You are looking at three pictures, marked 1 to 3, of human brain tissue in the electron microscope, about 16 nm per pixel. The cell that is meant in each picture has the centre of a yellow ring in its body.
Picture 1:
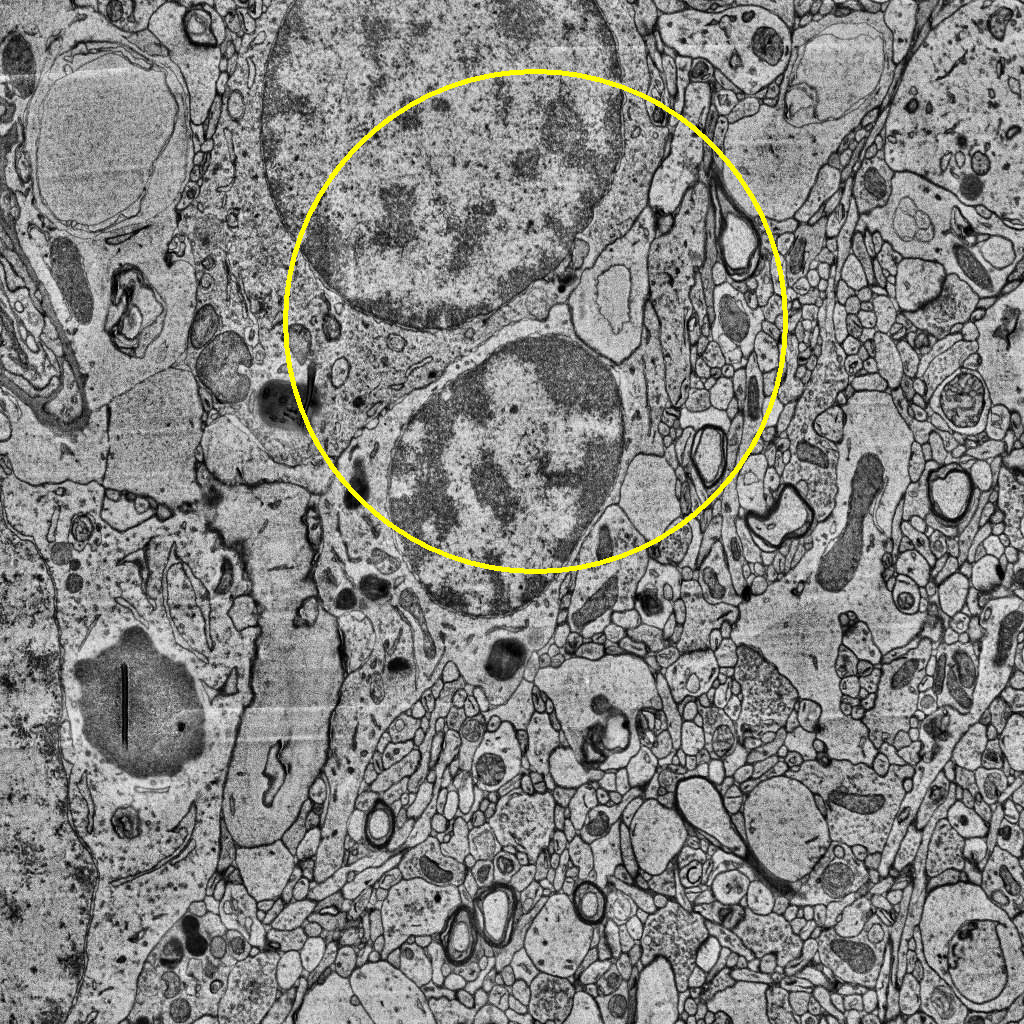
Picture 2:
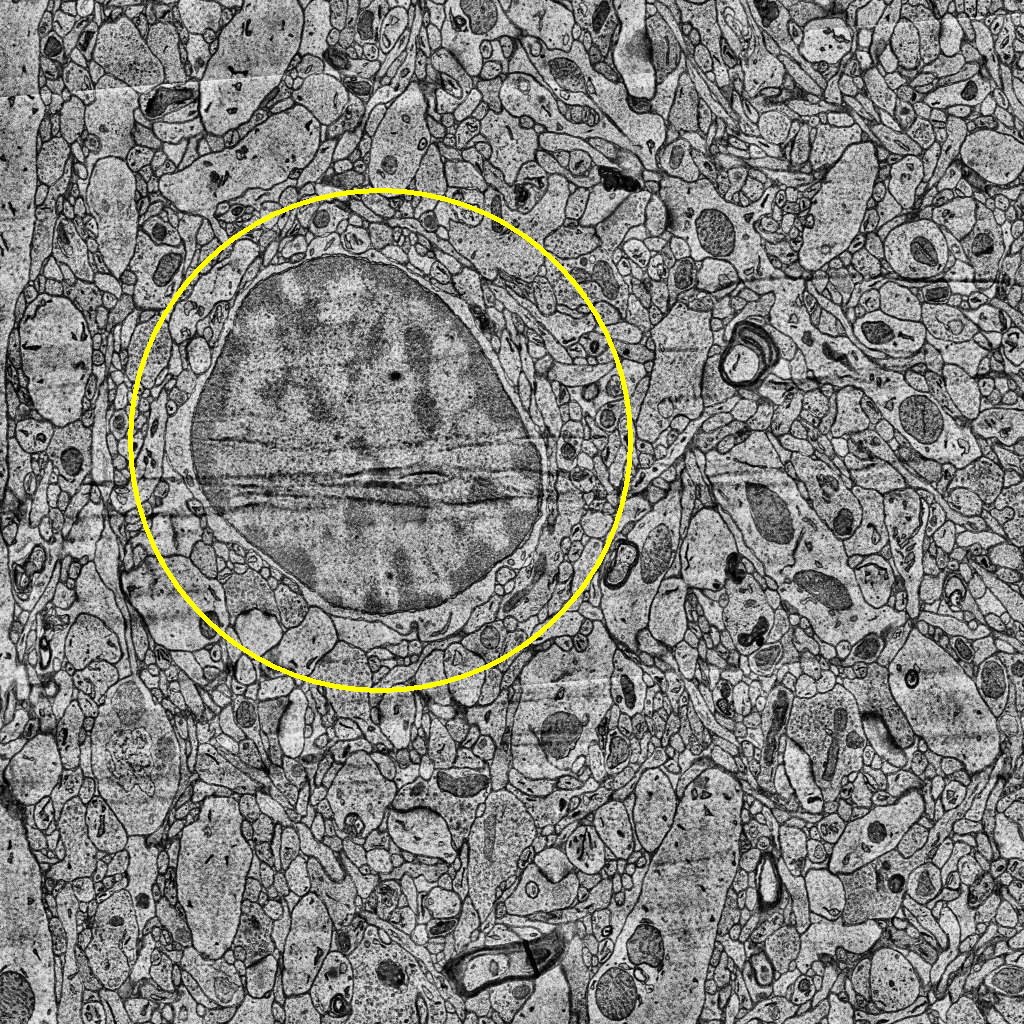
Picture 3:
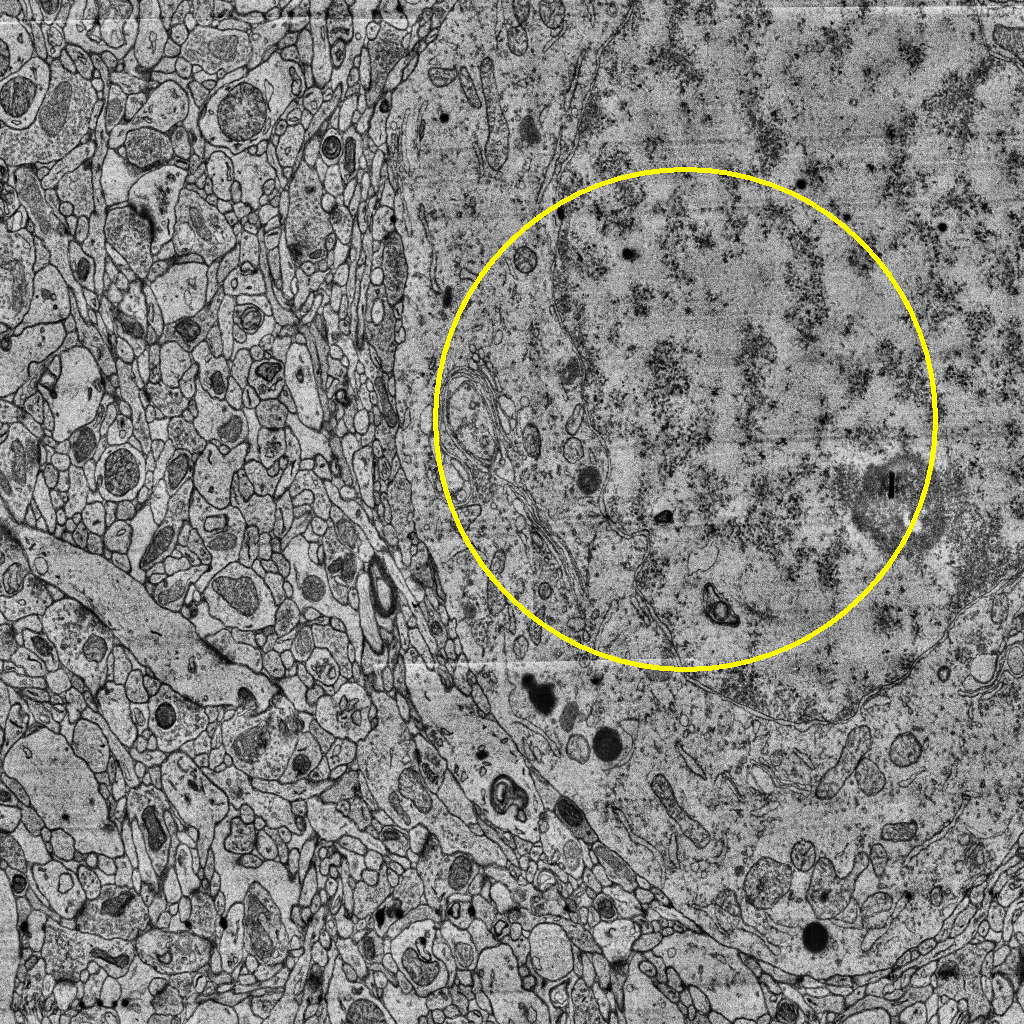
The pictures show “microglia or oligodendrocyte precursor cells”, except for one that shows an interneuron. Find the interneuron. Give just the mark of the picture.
3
